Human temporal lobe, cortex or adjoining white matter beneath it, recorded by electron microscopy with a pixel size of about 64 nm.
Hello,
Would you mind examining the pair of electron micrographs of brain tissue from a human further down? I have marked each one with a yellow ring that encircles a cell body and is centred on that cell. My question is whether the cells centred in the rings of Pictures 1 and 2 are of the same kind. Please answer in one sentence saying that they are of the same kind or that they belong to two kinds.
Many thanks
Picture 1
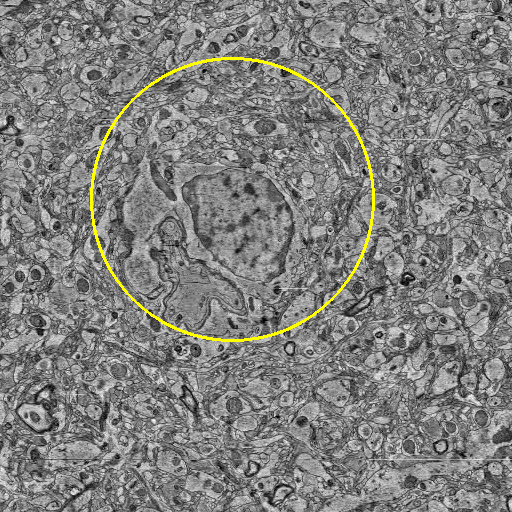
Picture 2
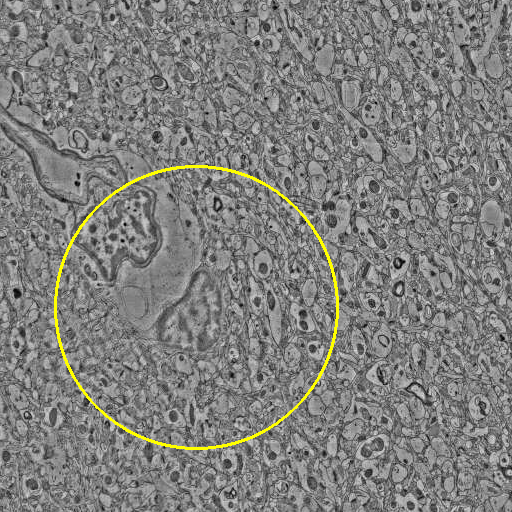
In Pictures 1 and 2, the cells at the heart of the rings belong to two kinds.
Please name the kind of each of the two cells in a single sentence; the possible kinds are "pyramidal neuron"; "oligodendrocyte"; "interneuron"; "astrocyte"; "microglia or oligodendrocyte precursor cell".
In the first picture the ring is centred on a microglial cell or oligodendrocyte precursor cell, and in the second on an oligodendrocyte.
